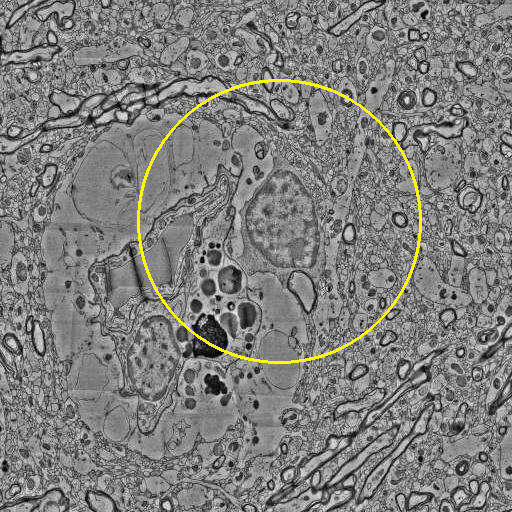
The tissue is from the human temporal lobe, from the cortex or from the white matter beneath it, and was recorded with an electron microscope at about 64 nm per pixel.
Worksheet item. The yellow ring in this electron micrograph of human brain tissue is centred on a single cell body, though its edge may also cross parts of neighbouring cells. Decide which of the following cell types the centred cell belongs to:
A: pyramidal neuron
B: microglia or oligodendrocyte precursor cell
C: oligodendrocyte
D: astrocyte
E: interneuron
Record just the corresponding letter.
C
